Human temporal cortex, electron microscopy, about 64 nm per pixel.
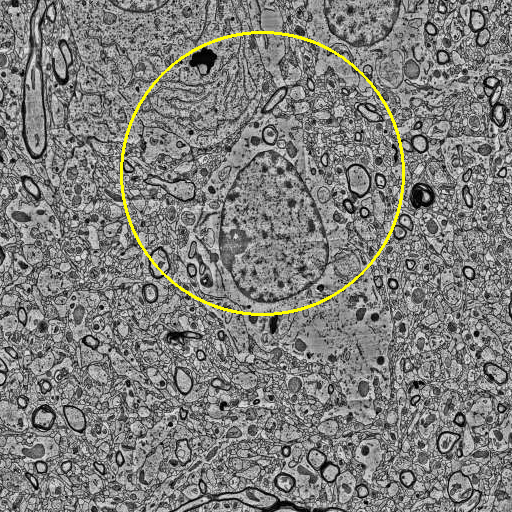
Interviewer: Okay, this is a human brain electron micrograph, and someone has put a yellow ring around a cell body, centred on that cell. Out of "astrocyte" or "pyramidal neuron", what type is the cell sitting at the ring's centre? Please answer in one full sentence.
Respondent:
The cell at the centre of the yellow ring in this picture is an astrocyte.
